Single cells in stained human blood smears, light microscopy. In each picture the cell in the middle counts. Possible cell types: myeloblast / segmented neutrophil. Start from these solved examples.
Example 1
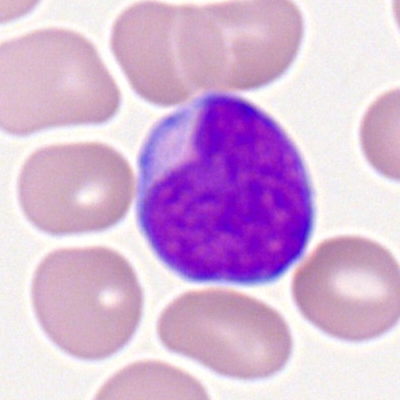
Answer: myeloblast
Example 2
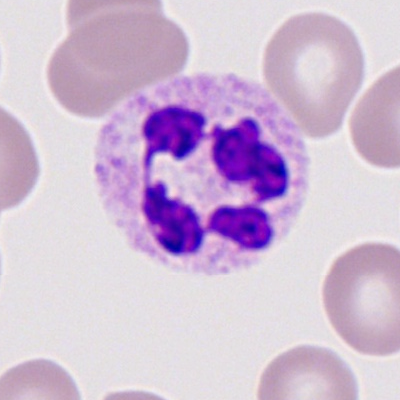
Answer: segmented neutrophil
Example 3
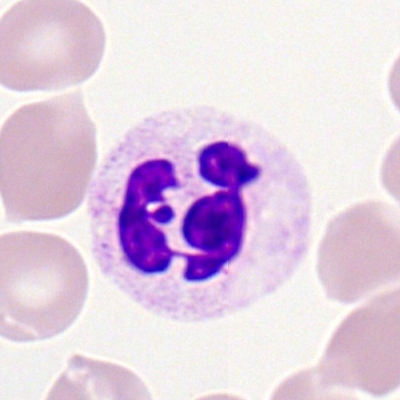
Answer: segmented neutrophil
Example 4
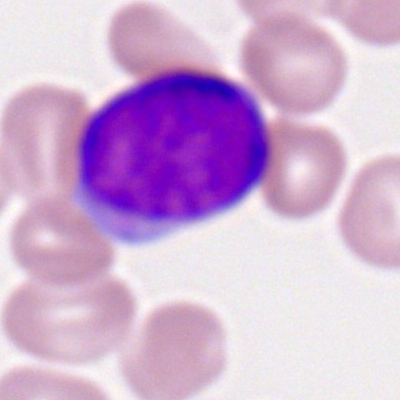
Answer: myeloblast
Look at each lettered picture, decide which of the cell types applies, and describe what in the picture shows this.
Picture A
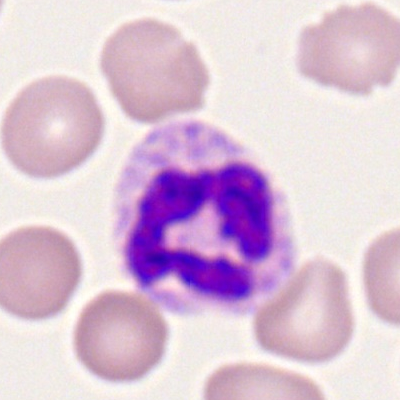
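Label: segmented neutrophil. The cytoplasm is plentiful and pale pinkish-lilac.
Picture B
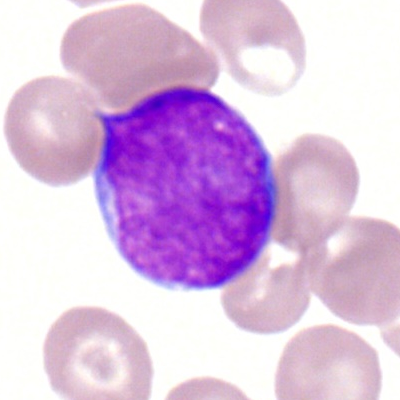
Label: myeloblast. The thin rim of cytoplasm is blue.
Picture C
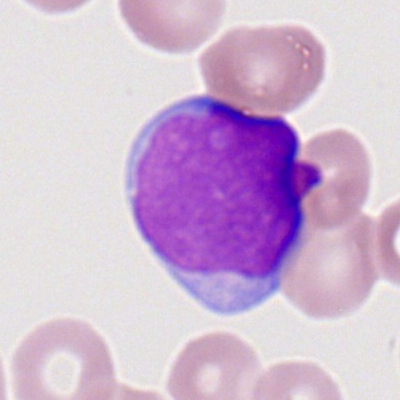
Label: myeloblast. The nucleus fills most of the cell.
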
